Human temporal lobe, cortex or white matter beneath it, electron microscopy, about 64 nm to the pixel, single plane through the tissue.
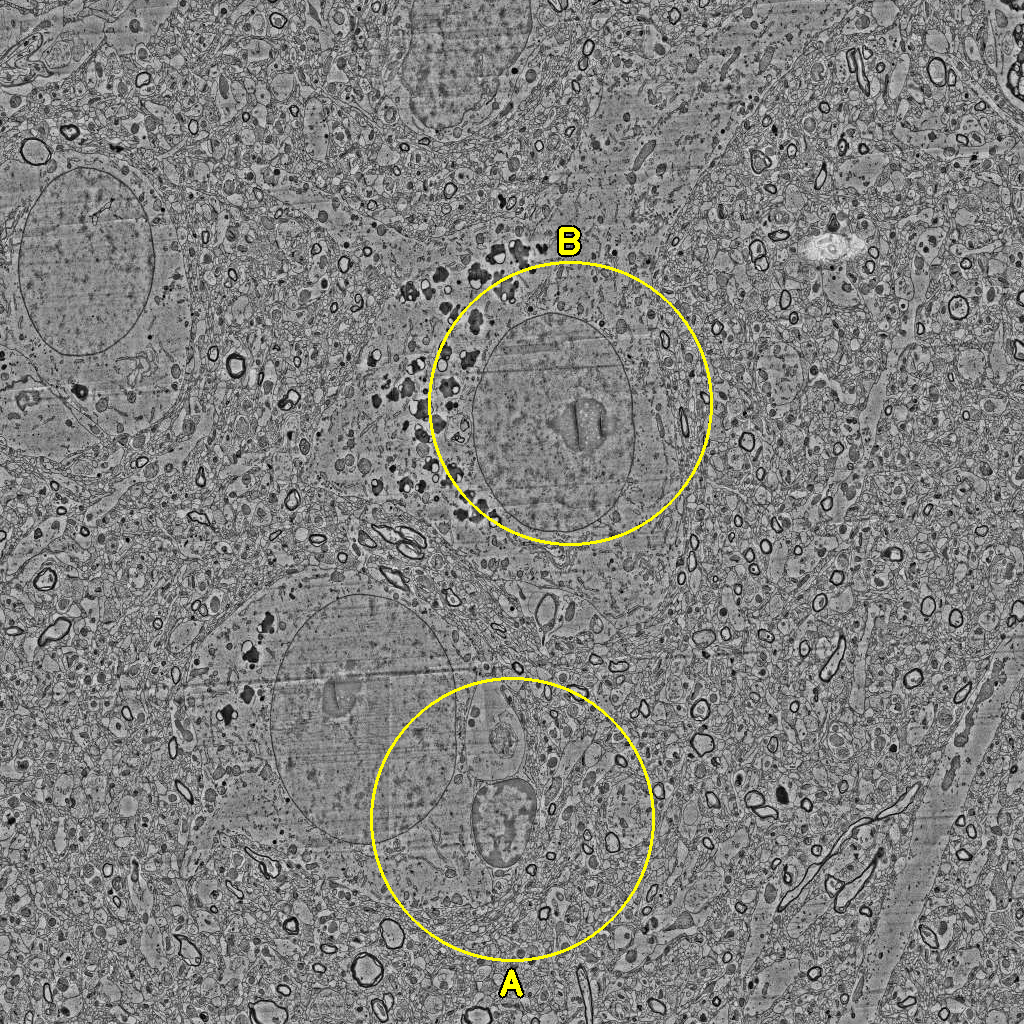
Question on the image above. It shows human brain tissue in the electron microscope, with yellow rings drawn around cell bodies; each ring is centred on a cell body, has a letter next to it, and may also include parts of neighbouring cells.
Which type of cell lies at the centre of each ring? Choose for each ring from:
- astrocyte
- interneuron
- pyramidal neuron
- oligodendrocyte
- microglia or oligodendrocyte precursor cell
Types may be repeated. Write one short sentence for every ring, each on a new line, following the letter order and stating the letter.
Ring A has been drawn around a microglial cell or oligodendrocyte precursor cell.
Ring B has been drawn around a pyramidal neuron.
